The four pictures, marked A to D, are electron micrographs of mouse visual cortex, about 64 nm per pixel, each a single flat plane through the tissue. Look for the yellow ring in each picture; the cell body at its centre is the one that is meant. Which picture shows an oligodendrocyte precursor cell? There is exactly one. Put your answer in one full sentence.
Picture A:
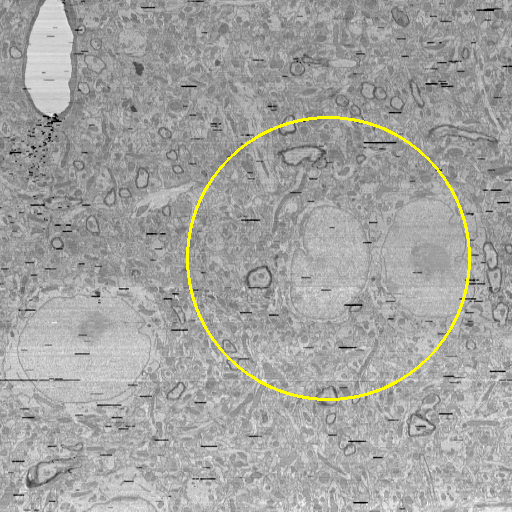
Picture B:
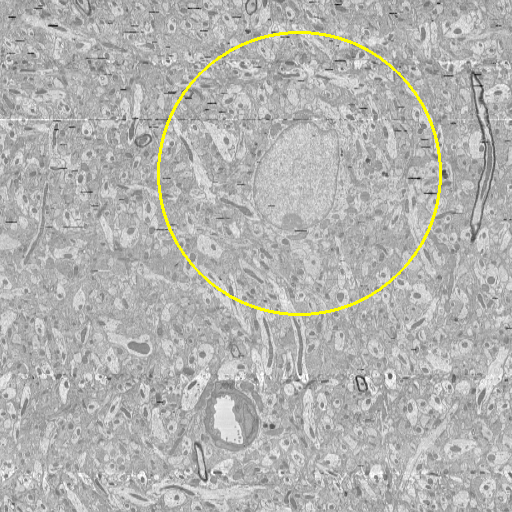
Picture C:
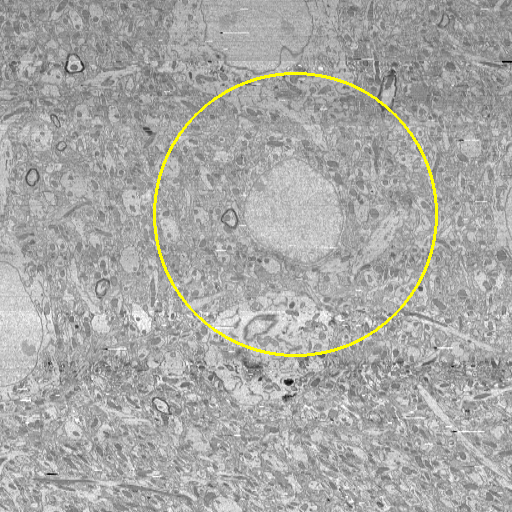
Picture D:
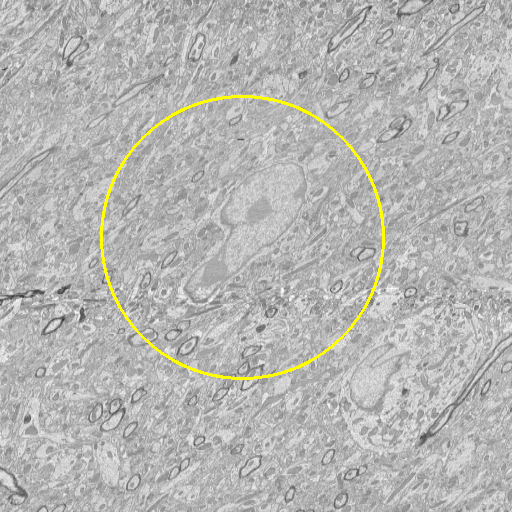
Picture D is the one that shows the oligodendrocyte precursor cell.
